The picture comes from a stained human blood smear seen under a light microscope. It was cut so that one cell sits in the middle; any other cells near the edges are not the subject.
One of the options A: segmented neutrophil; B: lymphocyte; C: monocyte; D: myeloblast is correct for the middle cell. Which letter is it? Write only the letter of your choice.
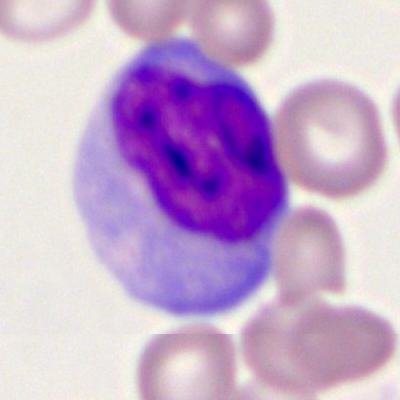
C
